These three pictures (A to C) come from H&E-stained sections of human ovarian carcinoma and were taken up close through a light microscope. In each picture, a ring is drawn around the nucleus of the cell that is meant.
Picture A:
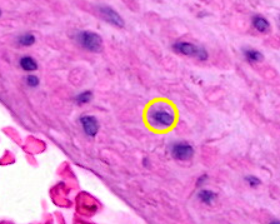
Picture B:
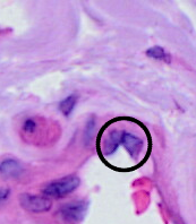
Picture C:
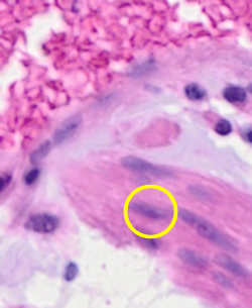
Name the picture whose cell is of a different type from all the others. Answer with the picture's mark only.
B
